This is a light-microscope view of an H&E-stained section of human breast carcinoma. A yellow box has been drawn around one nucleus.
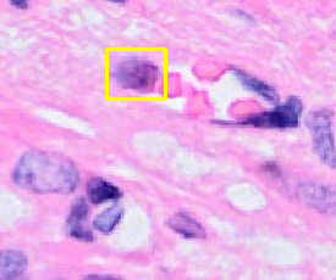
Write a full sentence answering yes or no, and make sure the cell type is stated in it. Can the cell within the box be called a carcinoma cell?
No, the cell within the box is an endothelial cell rather than a carcinoma cell.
